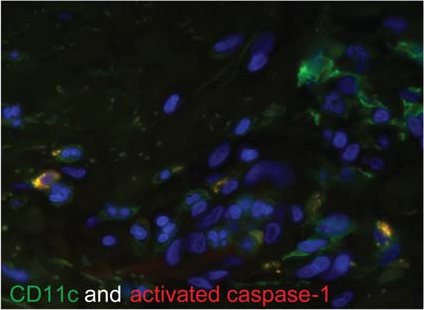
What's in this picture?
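Blue oval and round nuclei are spread across a dark background. Green cells have irregular, branching outlines with short processes, several clustered at the upper right and others dotted across the lower half. Many blue nuclei belong to cells with no green or red signal. Red dots without green are rare.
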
